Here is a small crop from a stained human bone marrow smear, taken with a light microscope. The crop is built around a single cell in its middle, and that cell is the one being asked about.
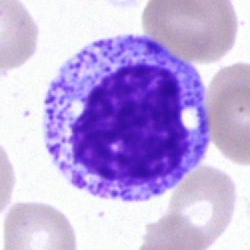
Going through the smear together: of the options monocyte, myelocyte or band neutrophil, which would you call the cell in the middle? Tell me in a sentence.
The cell positioned in the middle of the field is a myelocyte.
